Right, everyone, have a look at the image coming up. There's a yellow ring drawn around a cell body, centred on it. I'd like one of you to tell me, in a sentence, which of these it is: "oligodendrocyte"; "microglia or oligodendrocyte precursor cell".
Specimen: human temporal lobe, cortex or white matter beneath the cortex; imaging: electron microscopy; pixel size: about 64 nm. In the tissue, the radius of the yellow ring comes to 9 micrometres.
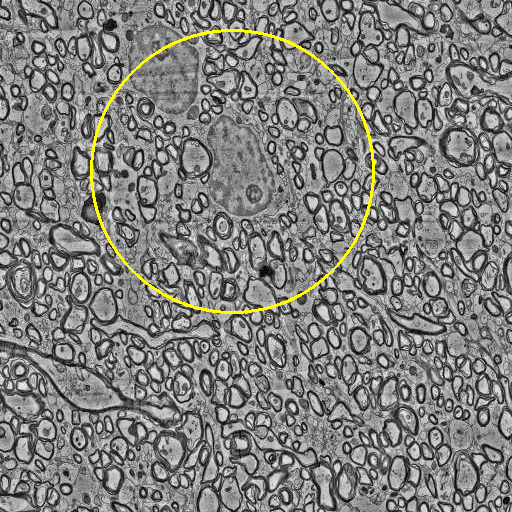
The yellow ring sits on an oligodendrocyte.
